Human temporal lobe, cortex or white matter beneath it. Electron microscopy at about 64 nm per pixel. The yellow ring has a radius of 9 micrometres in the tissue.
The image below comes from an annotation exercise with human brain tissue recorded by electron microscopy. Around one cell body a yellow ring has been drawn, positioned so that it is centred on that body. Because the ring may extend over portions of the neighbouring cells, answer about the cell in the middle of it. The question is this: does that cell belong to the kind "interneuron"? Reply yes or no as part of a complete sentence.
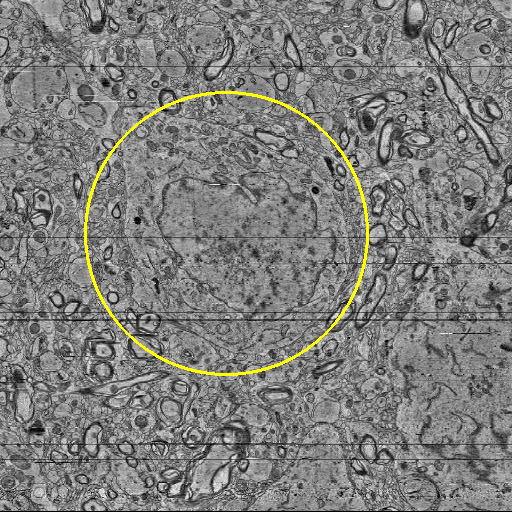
Yes, in the image the cell in the middle of the ring is of the kind asked about.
